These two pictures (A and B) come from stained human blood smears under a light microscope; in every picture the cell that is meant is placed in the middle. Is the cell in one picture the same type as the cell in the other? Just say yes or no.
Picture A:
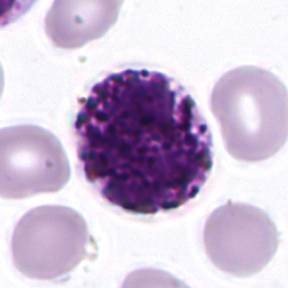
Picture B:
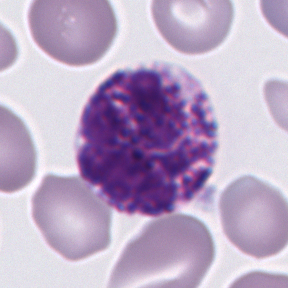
yes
